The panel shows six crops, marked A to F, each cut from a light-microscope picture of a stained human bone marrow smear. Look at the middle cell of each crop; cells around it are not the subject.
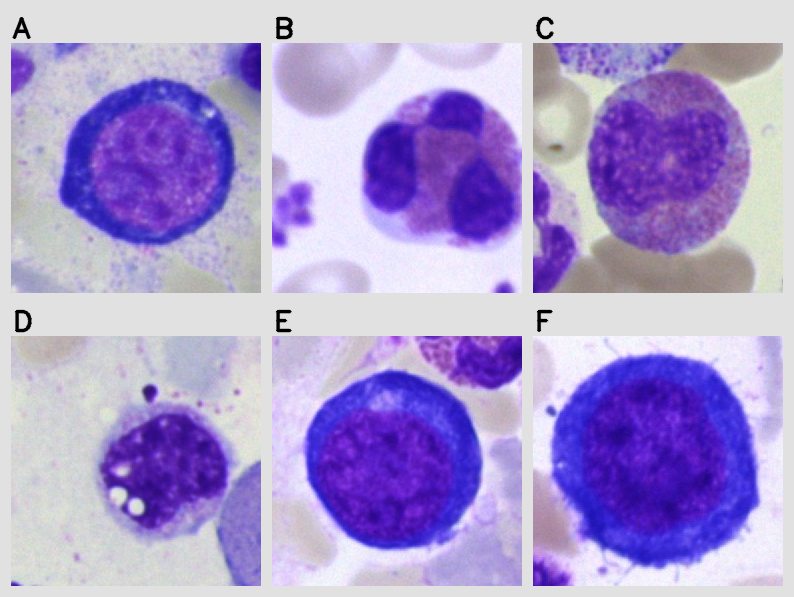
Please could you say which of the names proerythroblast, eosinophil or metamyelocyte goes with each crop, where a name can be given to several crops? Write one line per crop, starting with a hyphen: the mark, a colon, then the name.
- A: proerythroblast
- B: eosinophil
- C: eosinophil
- D: metamyelocyte
- E: proerythroblast
- F: proerythroblast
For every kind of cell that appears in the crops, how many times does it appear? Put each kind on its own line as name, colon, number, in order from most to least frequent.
proerythroblast: 3
eosinophil: 2
metamyelocyte: 1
